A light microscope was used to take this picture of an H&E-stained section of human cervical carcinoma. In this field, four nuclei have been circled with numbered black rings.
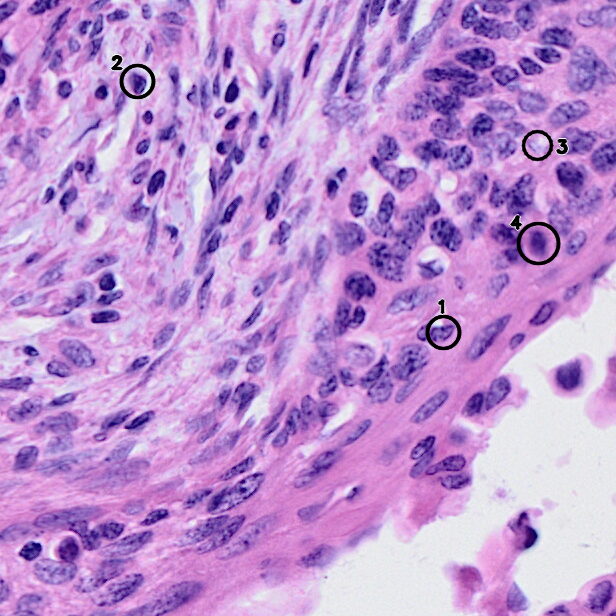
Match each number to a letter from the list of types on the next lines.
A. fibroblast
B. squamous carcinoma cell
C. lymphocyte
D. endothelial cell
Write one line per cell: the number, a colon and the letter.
1: B
2: C
3: B
4: B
